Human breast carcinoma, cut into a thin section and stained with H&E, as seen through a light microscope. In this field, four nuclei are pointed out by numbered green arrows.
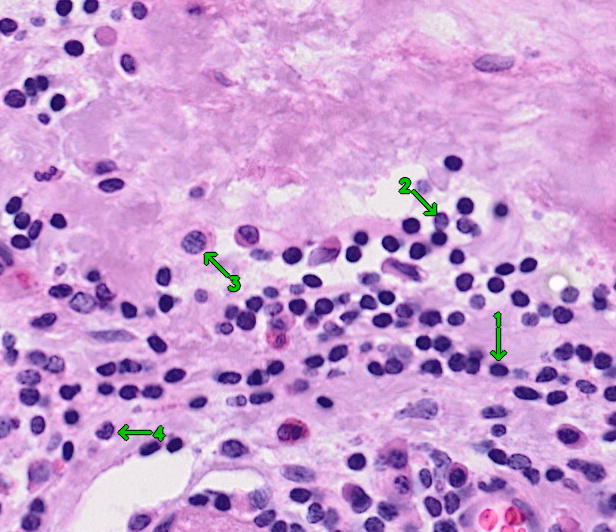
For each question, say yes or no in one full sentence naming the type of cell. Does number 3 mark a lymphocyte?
No, number 3 belongs to a mast cell, not to a lymphocyte.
